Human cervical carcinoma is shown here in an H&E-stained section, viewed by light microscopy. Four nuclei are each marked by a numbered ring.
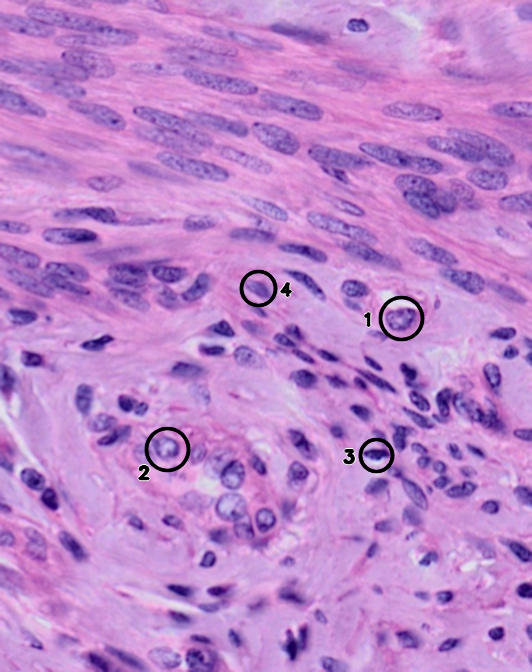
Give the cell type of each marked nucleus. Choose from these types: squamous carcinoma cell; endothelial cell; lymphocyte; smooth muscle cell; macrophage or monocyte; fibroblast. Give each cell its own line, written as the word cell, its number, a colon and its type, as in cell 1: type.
cell 1: endothelial cell
cell 2: endothelial cell
cell 3: lymphocyte
cell 4: smooth muscle cell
